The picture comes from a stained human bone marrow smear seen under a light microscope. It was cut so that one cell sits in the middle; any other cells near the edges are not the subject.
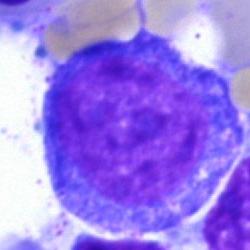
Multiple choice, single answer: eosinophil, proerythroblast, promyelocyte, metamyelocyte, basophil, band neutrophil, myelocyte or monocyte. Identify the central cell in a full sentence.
The centrally located cell in the crop is a proerythroblast.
